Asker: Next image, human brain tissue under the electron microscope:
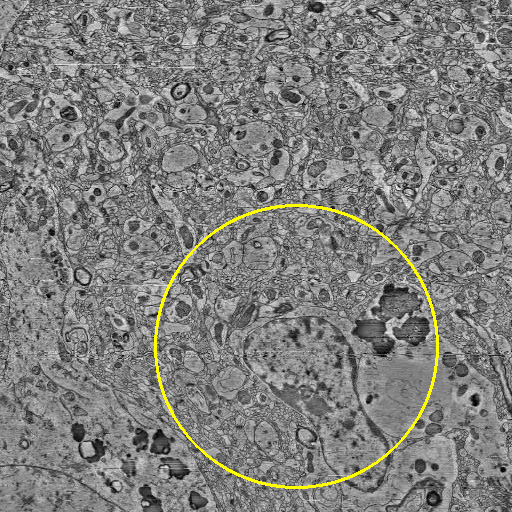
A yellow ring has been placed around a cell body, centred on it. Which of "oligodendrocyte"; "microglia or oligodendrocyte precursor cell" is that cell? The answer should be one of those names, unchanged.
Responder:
microglia or oligodendrocyte precursor cell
